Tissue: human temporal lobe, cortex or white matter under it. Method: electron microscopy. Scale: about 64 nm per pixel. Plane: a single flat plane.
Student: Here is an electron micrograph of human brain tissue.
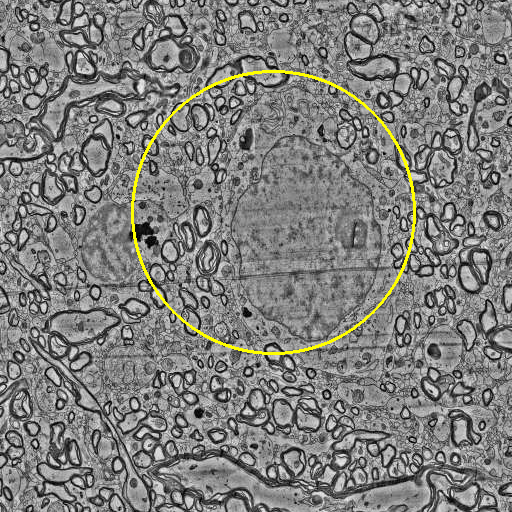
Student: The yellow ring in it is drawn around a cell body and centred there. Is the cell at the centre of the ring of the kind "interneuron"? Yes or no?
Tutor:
yes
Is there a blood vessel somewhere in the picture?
No, no blood vessel can be seen.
